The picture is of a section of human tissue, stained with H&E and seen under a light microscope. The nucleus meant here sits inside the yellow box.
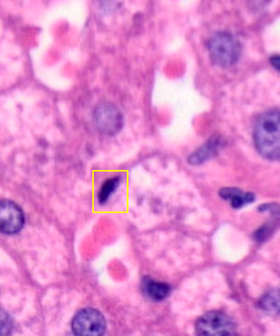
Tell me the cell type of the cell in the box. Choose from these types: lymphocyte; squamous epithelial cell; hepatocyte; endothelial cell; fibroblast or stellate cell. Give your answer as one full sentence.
The identity of the cell in the box is that of a fibroblast or stellate cell.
